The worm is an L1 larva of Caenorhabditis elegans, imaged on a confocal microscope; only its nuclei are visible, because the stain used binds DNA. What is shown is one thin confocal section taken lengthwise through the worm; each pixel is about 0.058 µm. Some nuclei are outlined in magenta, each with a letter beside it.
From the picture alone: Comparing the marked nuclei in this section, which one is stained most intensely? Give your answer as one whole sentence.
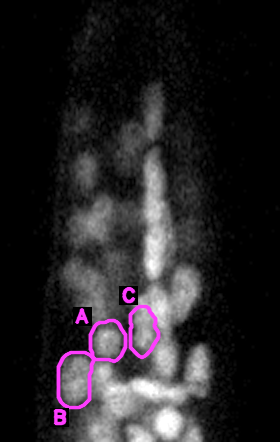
C is the most strongly stained.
